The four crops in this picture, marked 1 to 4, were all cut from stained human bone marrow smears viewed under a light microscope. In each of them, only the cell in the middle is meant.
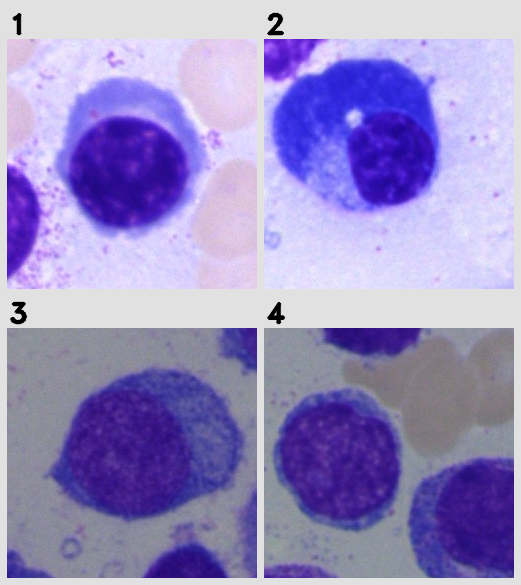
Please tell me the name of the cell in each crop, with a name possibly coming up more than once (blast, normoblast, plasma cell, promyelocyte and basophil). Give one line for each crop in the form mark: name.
1: normoblast
2: plasma cell
3: plasma cell
4: blast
